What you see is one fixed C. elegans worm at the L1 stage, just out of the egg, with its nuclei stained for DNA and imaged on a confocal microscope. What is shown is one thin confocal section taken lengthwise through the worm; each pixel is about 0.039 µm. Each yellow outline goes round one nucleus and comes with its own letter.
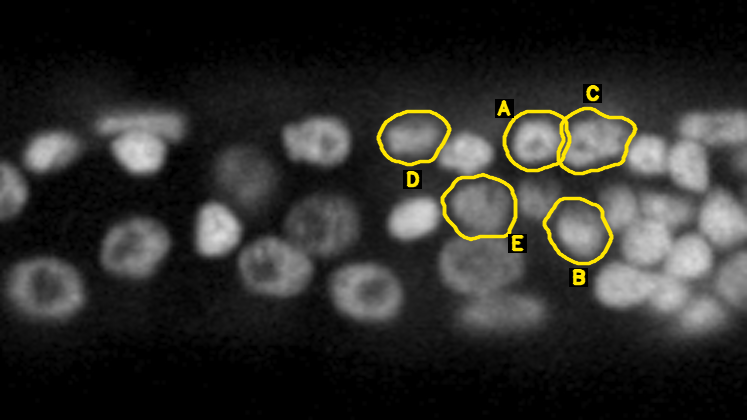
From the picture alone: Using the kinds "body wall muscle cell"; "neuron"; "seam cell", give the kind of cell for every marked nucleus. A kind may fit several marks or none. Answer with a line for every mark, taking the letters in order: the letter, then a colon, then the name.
A: body wall muscle cell
B: neuron
C: neuron
D: body wall muscle cell
E: neuron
